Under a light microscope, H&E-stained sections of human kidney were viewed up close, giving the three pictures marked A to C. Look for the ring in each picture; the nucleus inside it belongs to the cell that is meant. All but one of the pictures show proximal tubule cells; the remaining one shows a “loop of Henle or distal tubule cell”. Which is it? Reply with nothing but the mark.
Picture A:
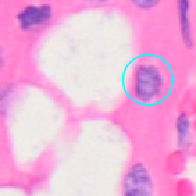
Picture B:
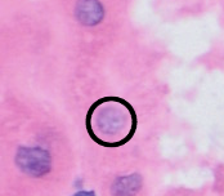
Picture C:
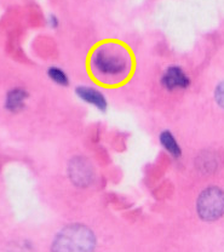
A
